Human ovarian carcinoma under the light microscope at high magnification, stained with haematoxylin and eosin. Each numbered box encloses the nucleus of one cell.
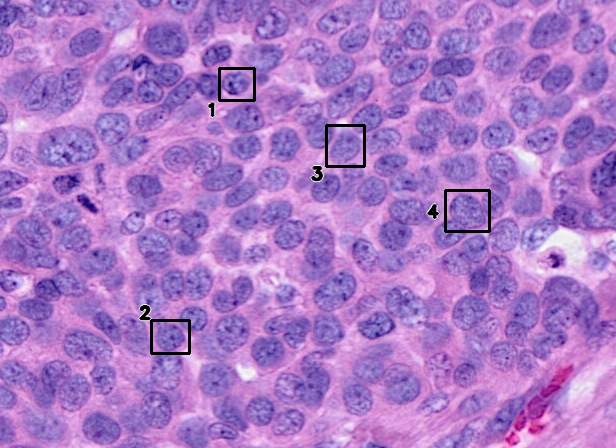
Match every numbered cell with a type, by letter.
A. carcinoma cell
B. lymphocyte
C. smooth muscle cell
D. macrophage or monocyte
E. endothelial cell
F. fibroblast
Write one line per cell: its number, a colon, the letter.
1: D
2: A
3: A
4: A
